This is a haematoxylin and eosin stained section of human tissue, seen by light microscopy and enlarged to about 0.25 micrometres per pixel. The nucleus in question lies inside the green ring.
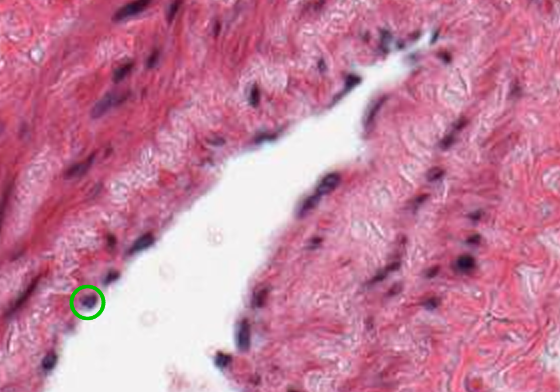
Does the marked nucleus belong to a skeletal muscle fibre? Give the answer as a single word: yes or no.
no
